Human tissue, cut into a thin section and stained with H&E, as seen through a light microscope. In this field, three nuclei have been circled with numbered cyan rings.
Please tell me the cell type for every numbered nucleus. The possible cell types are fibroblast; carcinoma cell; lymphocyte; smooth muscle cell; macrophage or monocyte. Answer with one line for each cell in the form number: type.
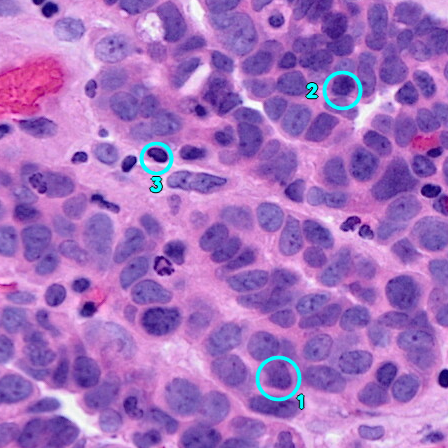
1: carcinoma cell
2: carcinoma cell
3: lymphocyte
